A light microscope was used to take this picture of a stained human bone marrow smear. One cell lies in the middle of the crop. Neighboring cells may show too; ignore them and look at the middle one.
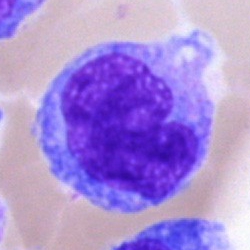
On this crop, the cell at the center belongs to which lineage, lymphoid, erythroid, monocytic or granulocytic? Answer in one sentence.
The cell at the crop's center is part of the monocytic lineage.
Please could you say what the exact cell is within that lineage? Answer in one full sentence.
Positioned in the middle of the crop is a monocyte.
